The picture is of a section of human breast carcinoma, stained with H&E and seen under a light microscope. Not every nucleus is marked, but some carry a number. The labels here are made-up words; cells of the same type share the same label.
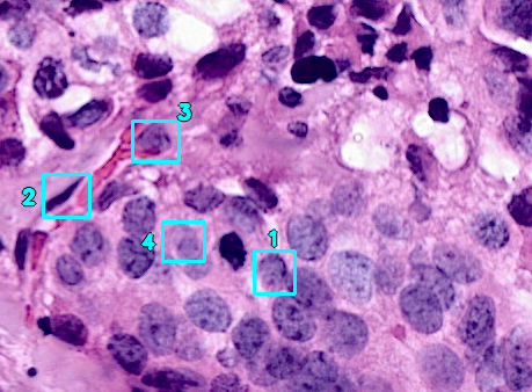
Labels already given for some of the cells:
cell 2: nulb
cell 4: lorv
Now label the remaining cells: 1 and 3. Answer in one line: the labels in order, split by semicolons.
lorv; nulb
